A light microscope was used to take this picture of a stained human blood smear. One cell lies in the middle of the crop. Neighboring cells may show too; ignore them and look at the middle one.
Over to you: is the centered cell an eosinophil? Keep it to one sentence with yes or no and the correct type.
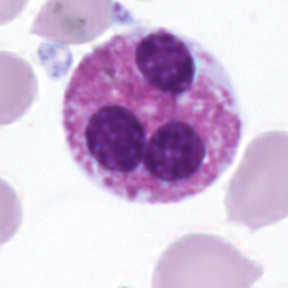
Yes, an eosinophil is the cell positioned in the middle of the field.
